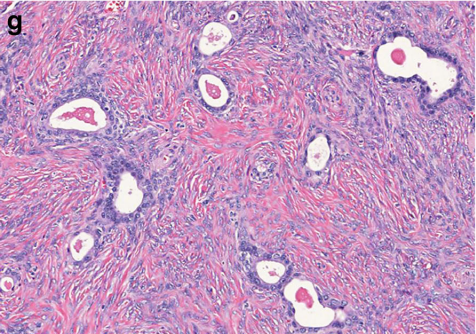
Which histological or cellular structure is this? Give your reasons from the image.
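Scattered round glands with open lumens. Glands lie spaced apart in abundant spindle-cell stroma. So: round and cystic glands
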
